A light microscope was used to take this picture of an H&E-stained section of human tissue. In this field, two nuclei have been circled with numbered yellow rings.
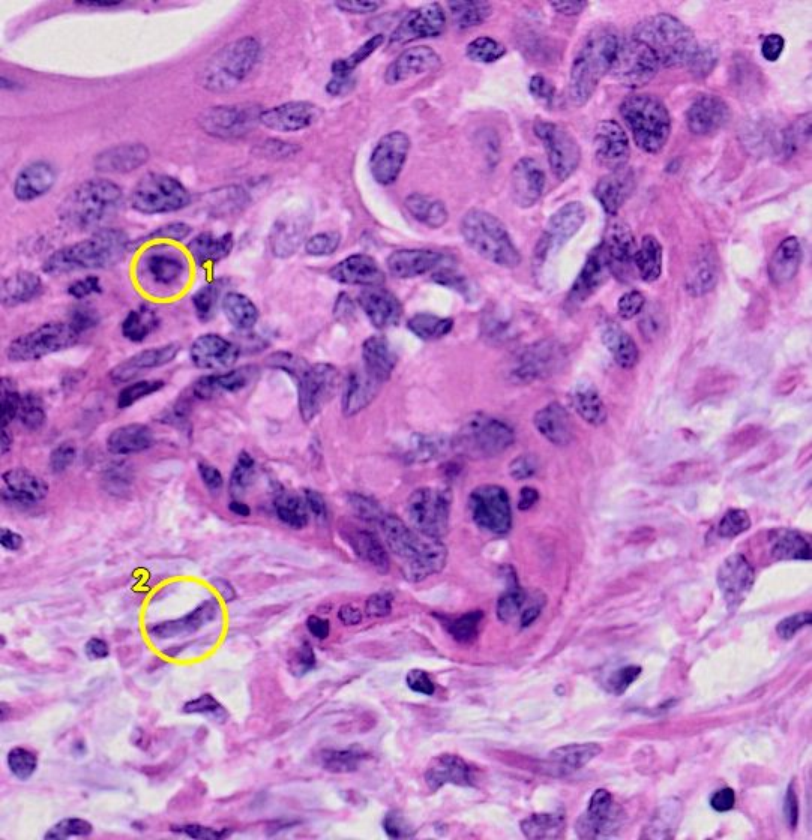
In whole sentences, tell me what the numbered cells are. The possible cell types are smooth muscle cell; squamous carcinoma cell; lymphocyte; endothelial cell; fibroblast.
Cell 1 is a squamous carcinoma cell and cell 2 is a fibroblast.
